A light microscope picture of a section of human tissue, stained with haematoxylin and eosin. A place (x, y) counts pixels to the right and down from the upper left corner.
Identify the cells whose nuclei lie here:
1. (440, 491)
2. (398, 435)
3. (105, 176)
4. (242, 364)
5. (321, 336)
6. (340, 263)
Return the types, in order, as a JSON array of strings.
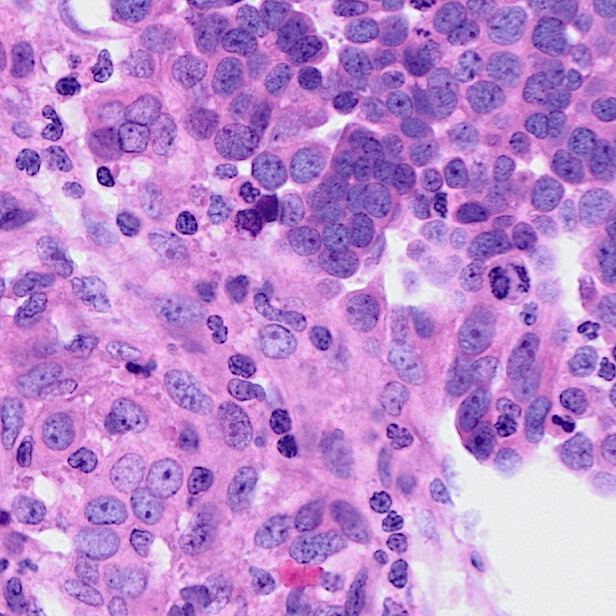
["macrophage or monocyte", "lymphocyte", "lymphocyte", "lymphocyte", "lymphocyte", "carcinoma cell"]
